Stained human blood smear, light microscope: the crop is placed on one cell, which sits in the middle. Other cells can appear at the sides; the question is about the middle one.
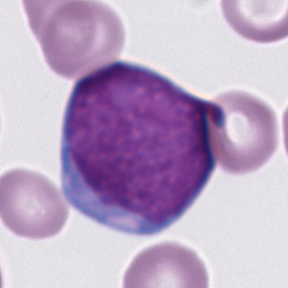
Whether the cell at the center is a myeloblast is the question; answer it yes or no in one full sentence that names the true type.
Yes, the cell at the center of the crop is a myeloblast.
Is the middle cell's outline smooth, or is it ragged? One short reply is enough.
The cytoplasmic margin is uneven, whether through ragged segments or through projections.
